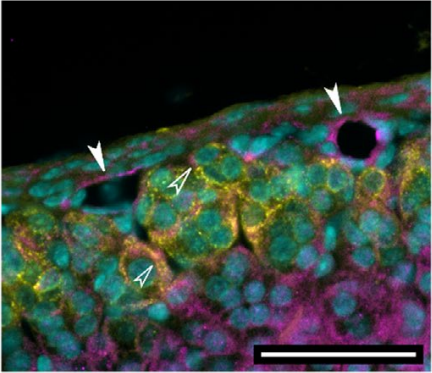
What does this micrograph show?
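Magenta appears only sparsely within these clusters. Deeper tissue shows more diffuse magenta between densely packed nuclei.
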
